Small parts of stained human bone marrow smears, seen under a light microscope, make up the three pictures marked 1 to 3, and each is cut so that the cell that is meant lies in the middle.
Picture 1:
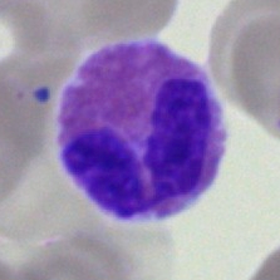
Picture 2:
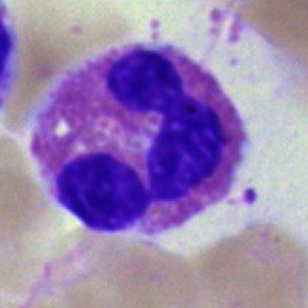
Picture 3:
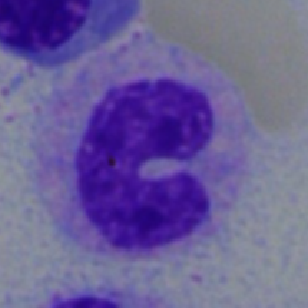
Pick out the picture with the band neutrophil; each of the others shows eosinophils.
3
